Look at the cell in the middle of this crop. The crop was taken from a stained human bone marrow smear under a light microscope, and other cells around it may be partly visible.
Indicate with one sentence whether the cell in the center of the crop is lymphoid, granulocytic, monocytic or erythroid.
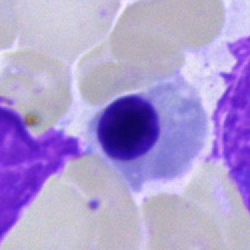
Lineage field for the centered cell should read erythroid.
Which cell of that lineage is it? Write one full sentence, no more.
The cell sitting right in the middle is an erythroblast.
